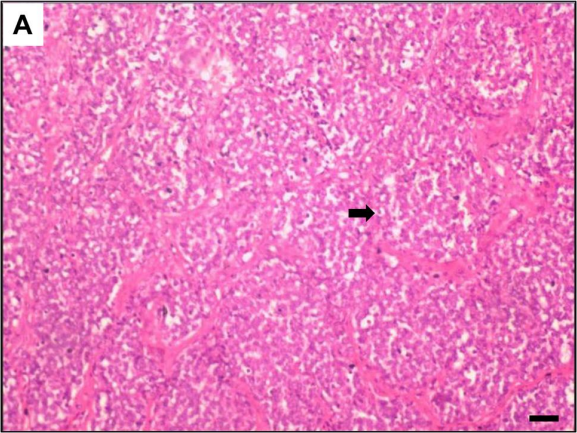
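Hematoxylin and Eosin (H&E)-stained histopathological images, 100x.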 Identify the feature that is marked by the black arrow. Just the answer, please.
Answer: Rosette-like cell clusters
